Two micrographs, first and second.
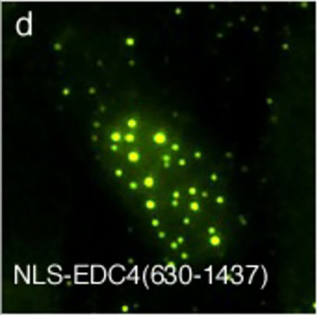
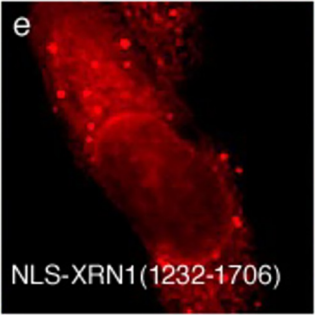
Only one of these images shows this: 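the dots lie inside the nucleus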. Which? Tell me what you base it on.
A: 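Second image: red dots lie around and outside a faint oval nuclear outline. First image: green dots are clustered within an oval nuclear-sized region.
Answer: the first image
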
